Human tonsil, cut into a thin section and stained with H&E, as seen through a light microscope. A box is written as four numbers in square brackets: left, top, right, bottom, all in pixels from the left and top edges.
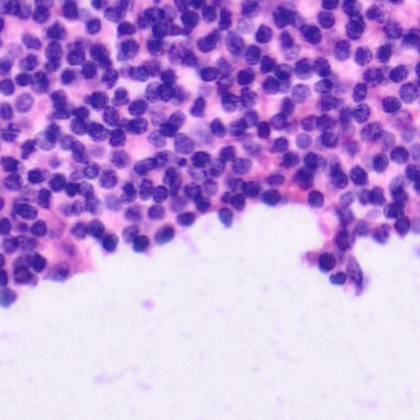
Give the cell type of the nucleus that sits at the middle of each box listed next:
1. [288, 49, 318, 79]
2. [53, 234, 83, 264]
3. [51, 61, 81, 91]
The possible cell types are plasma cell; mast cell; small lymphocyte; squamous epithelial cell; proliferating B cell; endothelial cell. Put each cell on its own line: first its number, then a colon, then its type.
1: small lymphocyte
2: endothelial cell
3: small lymphocyte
